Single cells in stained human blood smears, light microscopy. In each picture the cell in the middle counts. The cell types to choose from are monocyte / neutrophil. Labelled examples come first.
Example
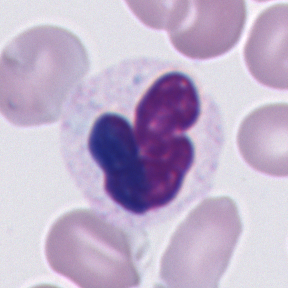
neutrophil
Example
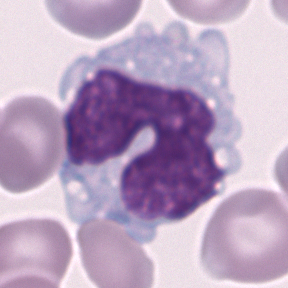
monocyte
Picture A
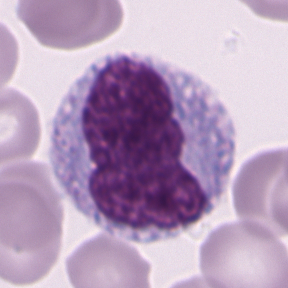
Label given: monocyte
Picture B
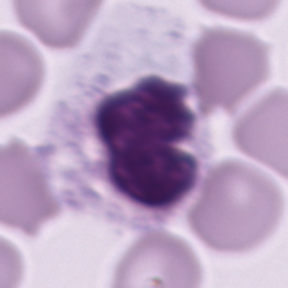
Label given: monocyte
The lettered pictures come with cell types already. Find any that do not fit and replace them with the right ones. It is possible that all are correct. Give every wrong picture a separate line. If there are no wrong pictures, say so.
B: not monocyte but neutrophil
